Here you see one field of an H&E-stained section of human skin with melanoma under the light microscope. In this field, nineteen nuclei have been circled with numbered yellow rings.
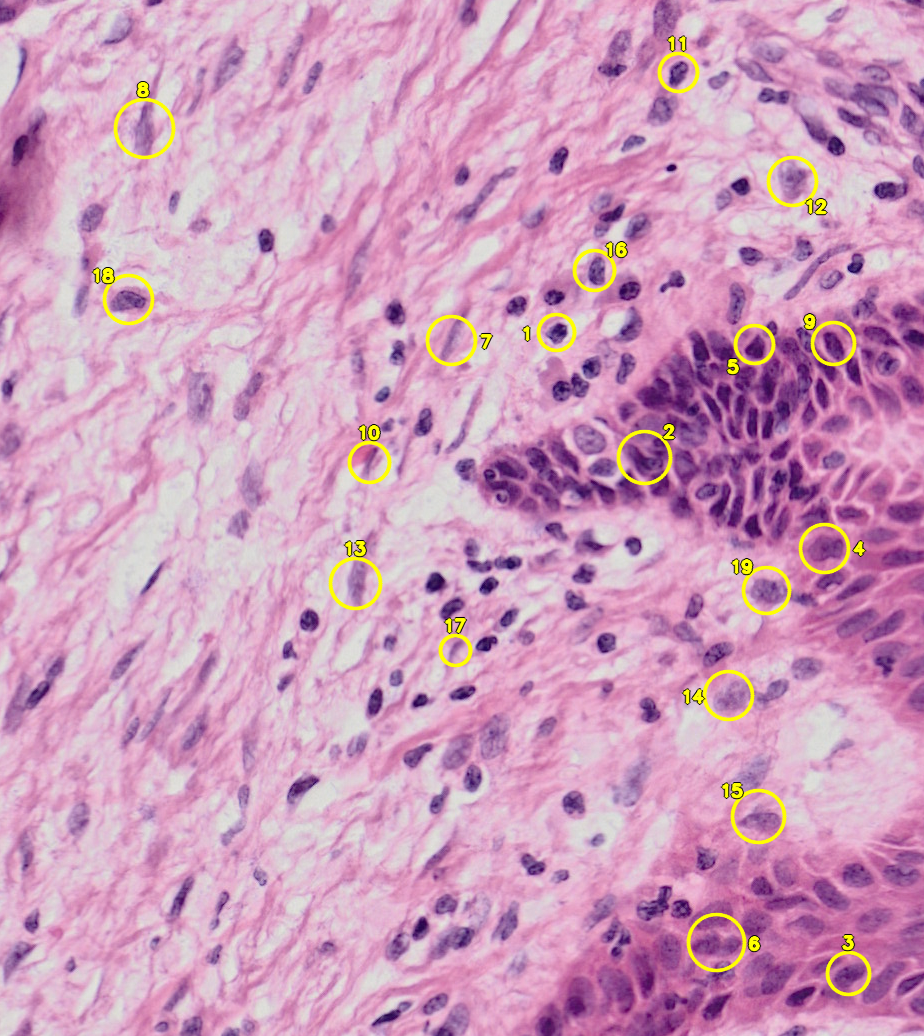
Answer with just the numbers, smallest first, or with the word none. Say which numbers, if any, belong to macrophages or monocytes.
18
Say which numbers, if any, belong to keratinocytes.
2, 3, 4, 5, 6, 9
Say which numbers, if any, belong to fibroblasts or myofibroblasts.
7, 8, 10, 12, 13, 14, 15, 17, 19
